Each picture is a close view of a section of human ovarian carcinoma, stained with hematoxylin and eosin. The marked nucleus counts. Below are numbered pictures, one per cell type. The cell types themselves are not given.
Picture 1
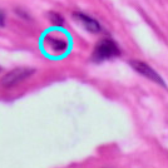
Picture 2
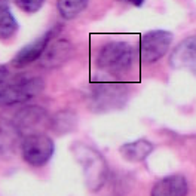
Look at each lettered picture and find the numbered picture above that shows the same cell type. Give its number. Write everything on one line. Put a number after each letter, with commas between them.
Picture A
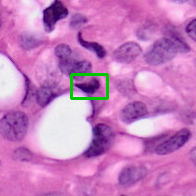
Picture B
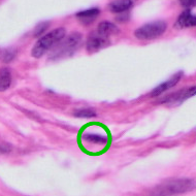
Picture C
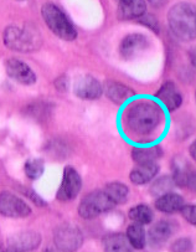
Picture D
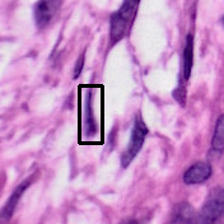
A 2, B 1, C 2, D 1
